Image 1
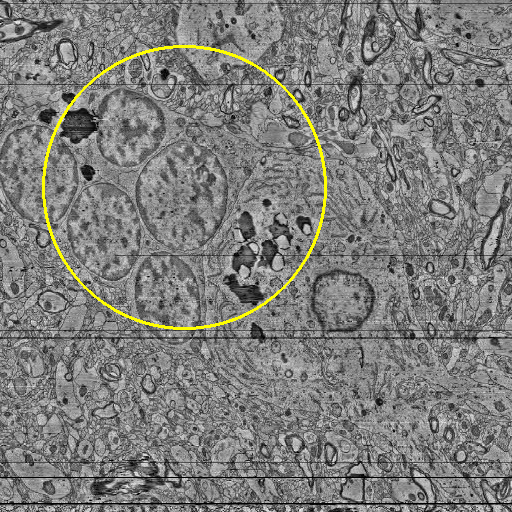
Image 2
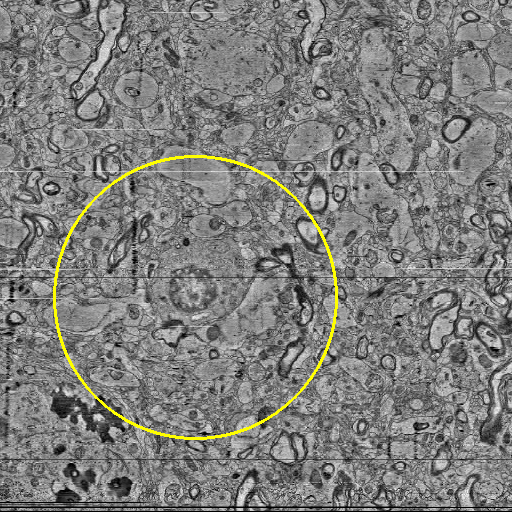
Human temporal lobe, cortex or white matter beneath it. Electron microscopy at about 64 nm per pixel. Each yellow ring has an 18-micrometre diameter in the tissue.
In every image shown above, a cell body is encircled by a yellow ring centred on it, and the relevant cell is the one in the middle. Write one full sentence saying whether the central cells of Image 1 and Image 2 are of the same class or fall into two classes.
The cell at the ring's centre in Image 1 and its counterpart in Image 2 are of the same class.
